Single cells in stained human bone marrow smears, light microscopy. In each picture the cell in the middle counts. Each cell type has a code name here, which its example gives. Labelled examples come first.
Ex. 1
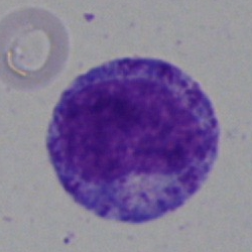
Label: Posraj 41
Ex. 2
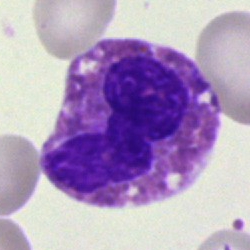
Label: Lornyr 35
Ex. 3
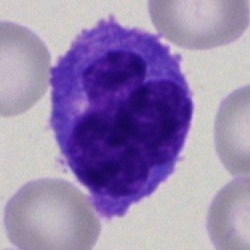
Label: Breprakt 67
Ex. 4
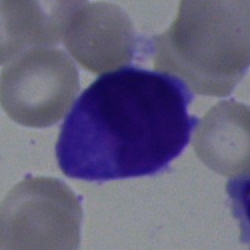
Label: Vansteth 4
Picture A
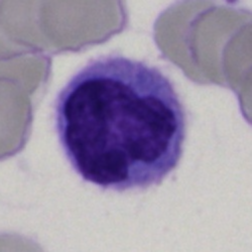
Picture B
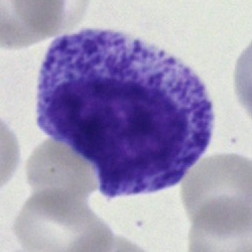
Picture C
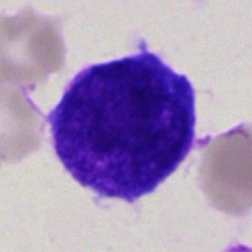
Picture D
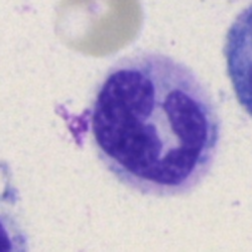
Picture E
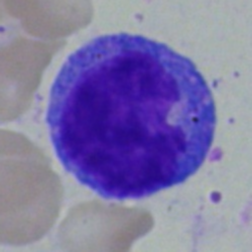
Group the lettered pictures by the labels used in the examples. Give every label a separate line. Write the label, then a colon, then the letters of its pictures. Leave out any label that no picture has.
Posraj 41: B, E
Breprakt 67: A, D
Vansteth 4: C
